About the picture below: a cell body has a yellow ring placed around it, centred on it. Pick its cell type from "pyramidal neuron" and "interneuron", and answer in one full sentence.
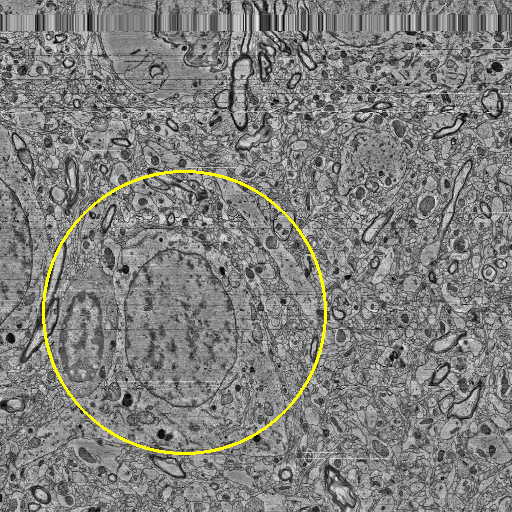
In the picture, a pyramidal neuron is the cell sitting at the centre of the yellow ring.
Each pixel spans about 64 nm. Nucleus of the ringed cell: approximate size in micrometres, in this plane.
In this plane the nucleus measures roughly 11 by 7 micrometres.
